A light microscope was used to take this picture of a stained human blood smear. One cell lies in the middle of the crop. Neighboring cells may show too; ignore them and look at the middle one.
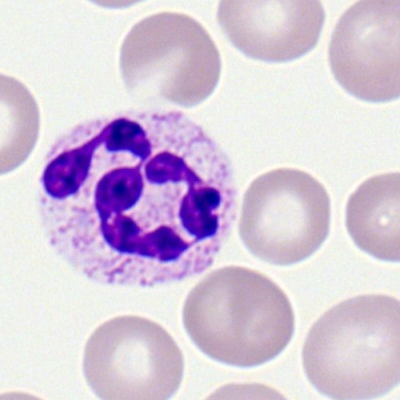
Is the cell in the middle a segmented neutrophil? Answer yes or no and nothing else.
yes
